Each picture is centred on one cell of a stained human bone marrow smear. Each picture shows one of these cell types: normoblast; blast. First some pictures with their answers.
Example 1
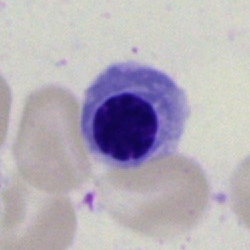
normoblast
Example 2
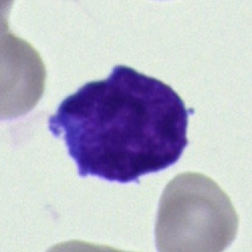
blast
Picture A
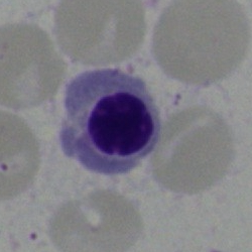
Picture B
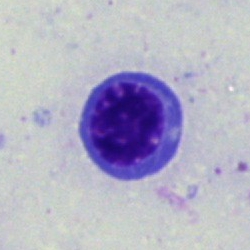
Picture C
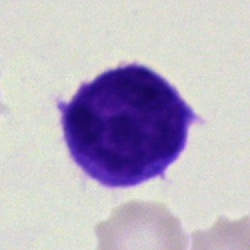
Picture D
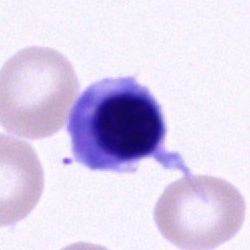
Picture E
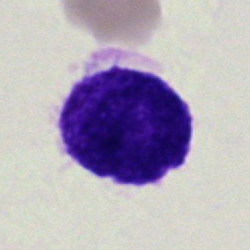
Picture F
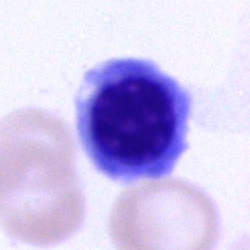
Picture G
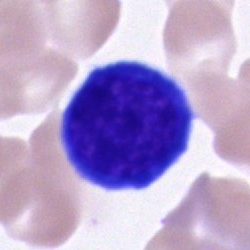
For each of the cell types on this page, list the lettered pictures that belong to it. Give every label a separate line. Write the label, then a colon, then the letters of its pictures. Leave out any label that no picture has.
normoblast: A, B, D, F, G
blast: C, E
